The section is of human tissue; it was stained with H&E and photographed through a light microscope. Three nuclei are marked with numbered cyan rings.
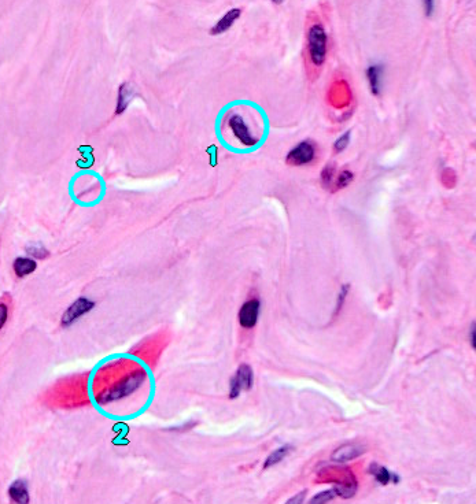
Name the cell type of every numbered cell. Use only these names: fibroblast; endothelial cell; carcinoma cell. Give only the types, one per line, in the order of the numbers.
fibroblast
endothelial cell
fibroblast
